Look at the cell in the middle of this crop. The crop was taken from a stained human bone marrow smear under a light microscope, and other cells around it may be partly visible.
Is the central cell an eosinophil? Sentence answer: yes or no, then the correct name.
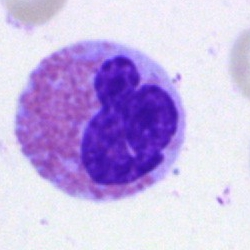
Yes, the cell placed centrally within the crop is an eosinophil.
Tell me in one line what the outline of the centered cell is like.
No projections interrupt the outline; it is smooth all the way round.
